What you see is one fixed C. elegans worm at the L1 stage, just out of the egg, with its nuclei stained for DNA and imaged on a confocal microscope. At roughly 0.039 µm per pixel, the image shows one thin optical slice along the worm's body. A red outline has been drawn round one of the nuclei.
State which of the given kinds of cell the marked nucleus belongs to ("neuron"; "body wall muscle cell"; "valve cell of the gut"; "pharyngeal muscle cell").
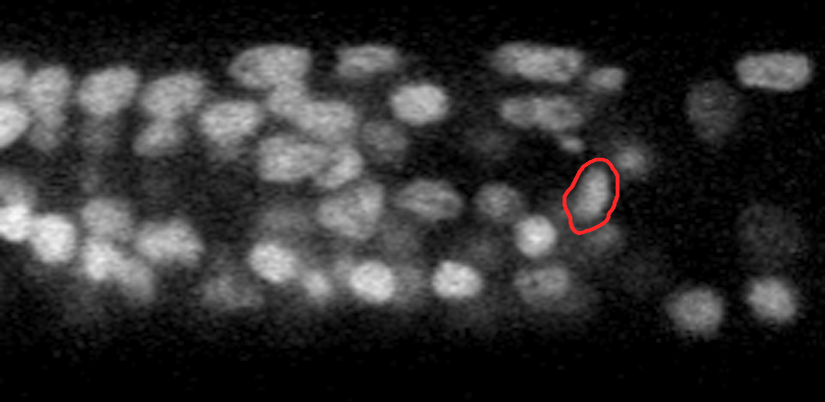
valve cell of the gut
